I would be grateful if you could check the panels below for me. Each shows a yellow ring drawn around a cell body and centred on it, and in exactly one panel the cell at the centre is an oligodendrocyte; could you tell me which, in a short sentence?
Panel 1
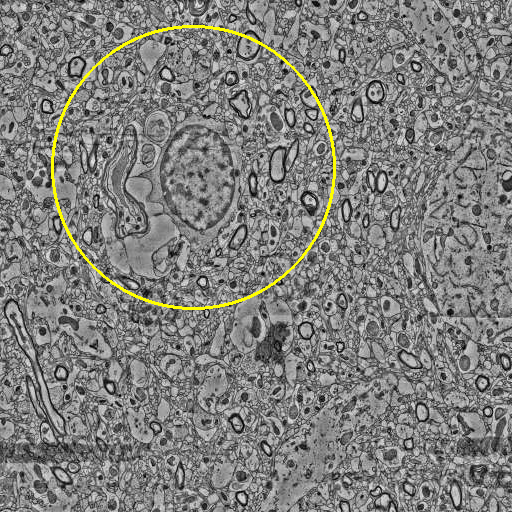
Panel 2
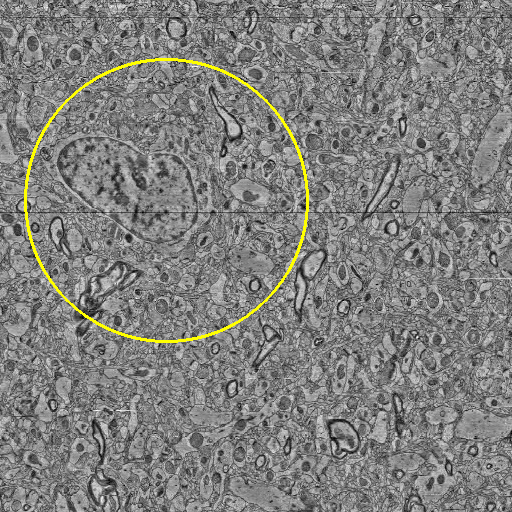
The ring in Panel 1 is centred on it.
